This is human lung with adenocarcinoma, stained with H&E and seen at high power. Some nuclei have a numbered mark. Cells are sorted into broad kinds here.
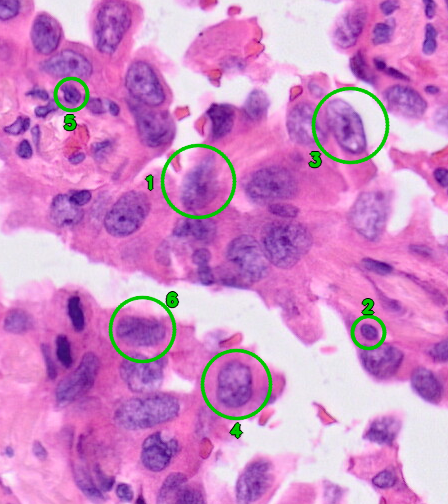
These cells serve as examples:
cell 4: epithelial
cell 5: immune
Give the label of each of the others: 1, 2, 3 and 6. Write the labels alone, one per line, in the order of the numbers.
epithelial
immune
epithelial
epithelial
